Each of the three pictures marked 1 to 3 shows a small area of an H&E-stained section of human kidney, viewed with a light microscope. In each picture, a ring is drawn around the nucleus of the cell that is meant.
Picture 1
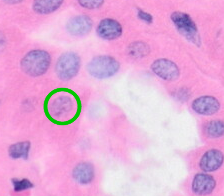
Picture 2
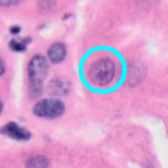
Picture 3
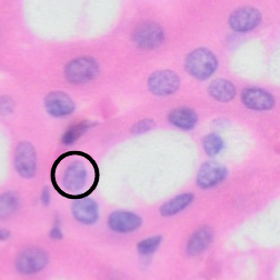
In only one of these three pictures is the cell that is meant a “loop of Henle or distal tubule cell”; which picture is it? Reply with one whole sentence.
It is picture 1 that shows the “loop of Henle or distal tubule cell”.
